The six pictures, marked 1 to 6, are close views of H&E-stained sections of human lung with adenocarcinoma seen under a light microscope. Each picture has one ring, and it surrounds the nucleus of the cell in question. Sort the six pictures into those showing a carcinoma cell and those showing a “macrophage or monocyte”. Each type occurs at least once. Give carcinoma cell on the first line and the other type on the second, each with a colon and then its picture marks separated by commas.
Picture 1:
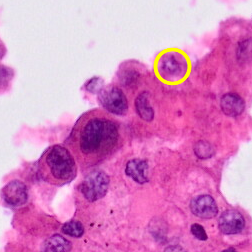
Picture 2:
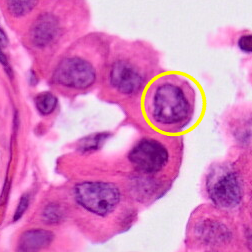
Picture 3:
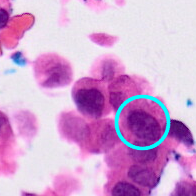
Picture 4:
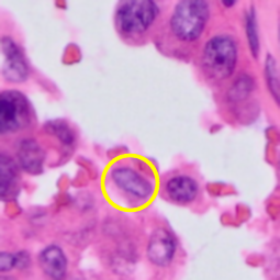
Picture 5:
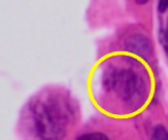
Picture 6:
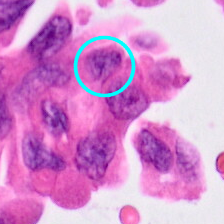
carcinoma cell: 2, 3, 5, 6
macrophage or monocyte: 1, 4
